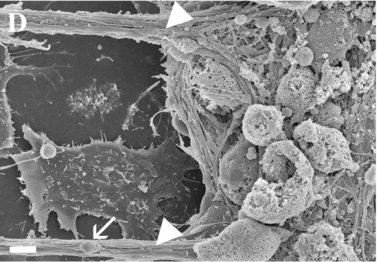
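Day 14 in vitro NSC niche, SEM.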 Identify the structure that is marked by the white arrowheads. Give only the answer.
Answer: processes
